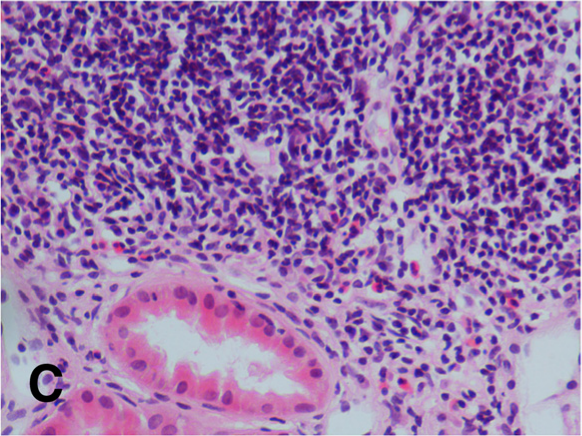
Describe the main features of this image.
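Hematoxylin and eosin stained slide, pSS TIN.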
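This is kidney tissue in which the space between the tubules is packed with small round inflammatory cells, mostly lymphocytes. Their nuclei are round, dark purple and dense, and each carries only a thin rim of cytoplasm, so the cells crowd together in a sheet. At the bottom lies a tubule in cross section, lined by a single layer of epithelial cells with pink cytoplasm and nuclei set toward the base, around an open lumen. A few bright red specks are scattered among the dark nuclei.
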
